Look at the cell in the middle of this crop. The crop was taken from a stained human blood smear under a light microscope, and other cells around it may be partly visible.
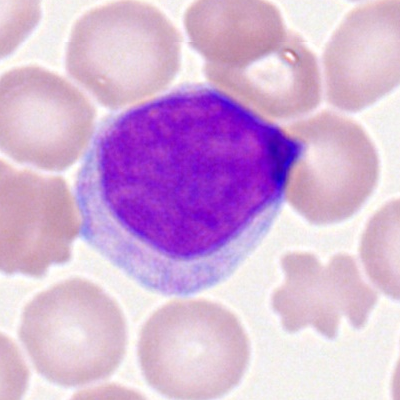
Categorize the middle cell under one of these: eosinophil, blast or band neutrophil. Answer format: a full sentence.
The central cell, amid any neighbouring cells, is a blast.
